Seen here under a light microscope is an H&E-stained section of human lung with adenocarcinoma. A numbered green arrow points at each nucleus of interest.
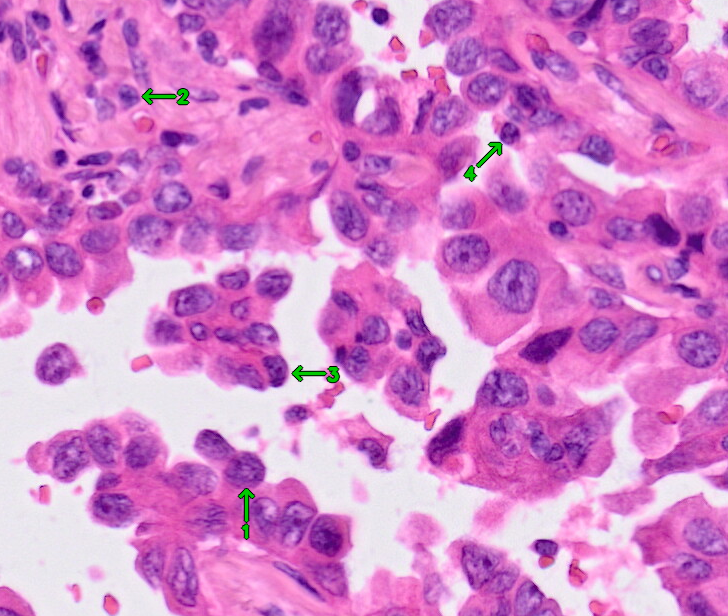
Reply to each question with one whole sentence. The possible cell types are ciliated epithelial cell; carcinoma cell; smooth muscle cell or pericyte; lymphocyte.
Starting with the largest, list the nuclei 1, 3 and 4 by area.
By area, largest first, they run 1, 3, 4.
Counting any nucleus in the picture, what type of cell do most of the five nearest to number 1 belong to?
Most of the five nuclei nearest to number 1 are those of carcinoma cells.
